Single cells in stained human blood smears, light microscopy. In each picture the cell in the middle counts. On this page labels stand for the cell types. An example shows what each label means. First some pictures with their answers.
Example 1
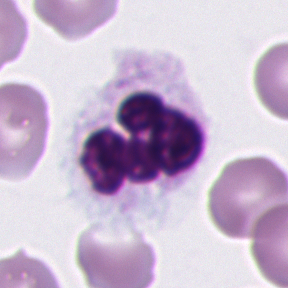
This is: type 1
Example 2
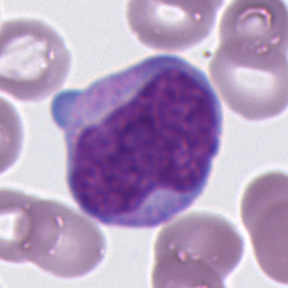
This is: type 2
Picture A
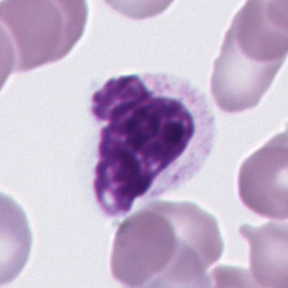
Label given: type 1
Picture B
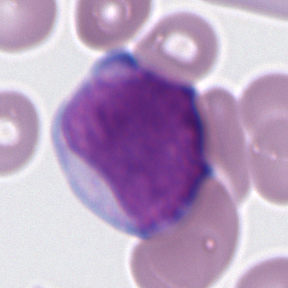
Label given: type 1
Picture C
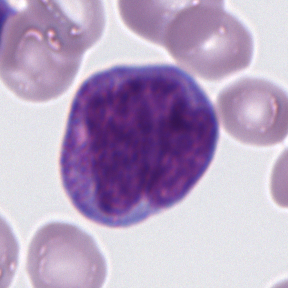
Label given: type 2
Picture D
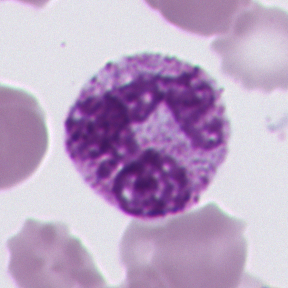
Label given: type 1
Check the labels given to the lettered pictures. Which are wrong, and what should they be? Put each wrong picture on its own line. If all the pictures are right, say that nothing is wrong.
B should be type 2, not type 1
